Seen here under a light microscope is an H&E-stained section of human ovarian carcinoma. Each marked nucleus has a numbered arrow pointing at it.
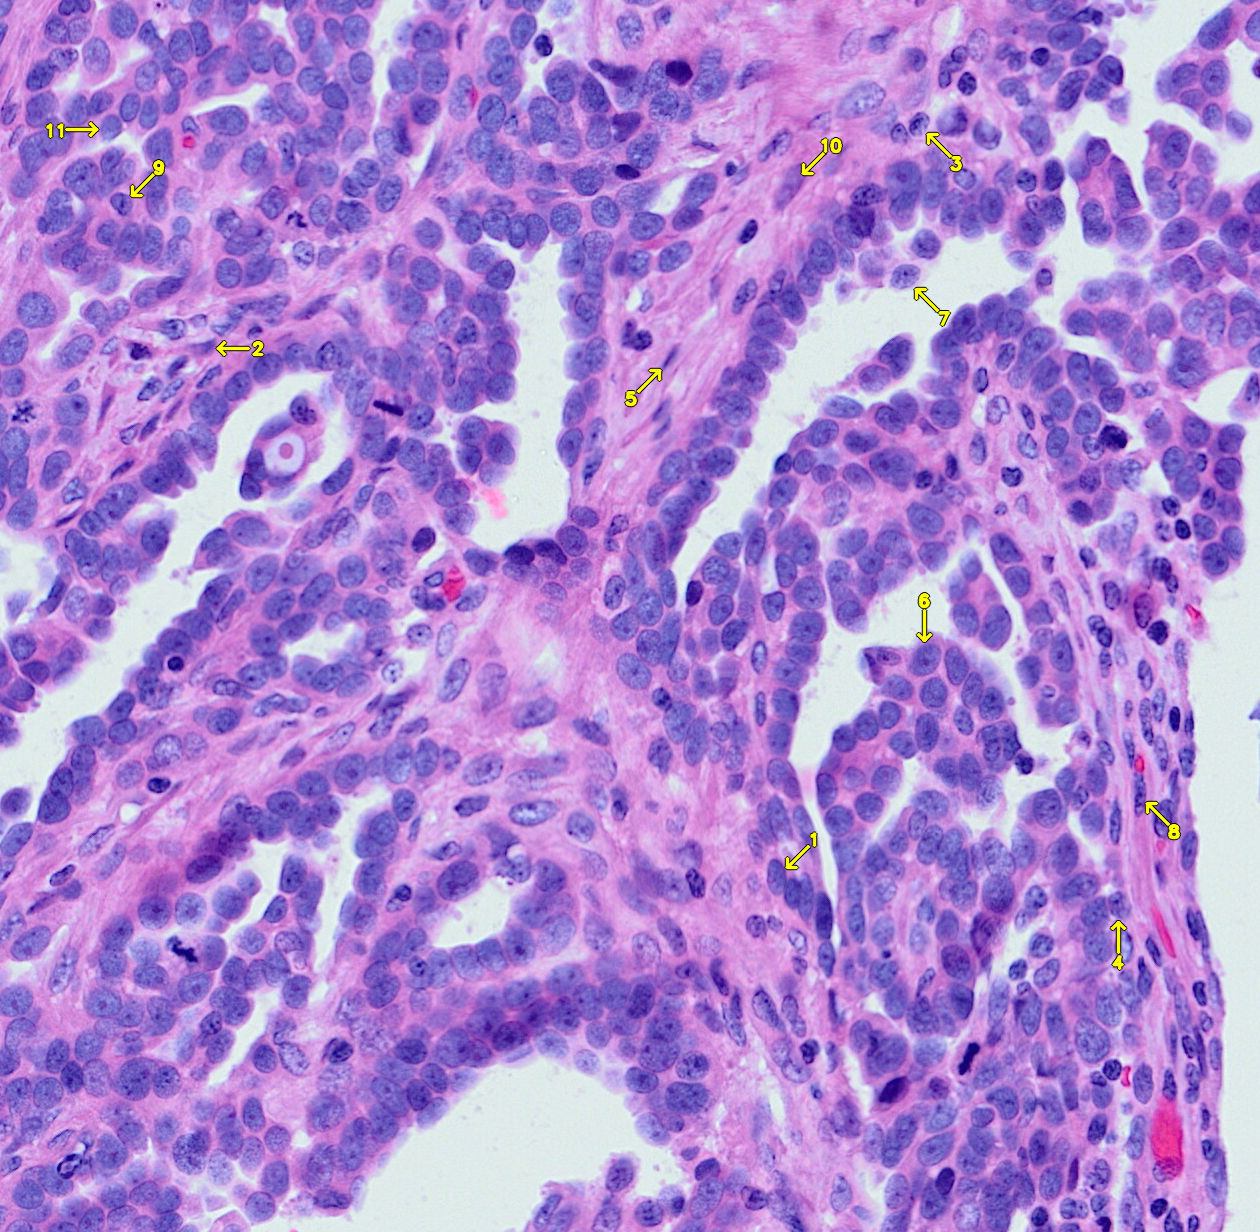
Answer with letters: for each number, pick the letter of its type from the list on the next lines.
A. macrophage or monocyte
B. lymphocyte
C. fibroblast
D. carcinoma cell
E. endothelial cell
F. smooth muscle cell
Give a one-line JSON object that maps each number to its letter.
{"1": "D", "2": "C", "3": "B", "4": "A", "5": "C", "6": "D", "7": "A", "8": "E", "9": "A", "10": "C", "11": "D"}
